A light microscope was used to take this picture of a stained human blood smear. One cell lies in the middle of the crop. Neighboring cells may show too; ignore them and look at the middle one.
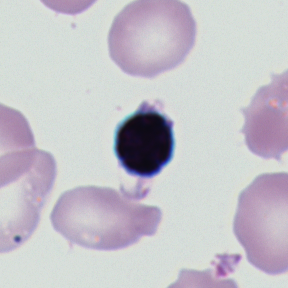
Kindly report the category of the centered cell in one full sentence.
The middle of this crop holds a normoblast.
